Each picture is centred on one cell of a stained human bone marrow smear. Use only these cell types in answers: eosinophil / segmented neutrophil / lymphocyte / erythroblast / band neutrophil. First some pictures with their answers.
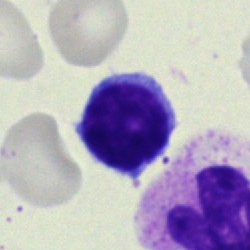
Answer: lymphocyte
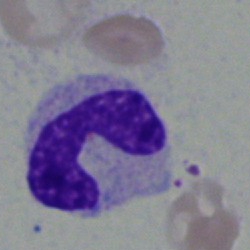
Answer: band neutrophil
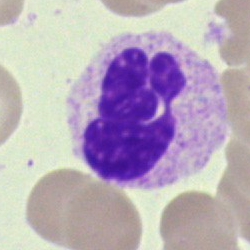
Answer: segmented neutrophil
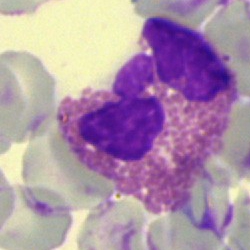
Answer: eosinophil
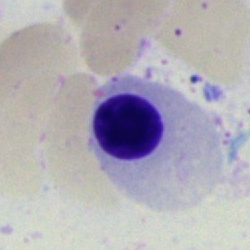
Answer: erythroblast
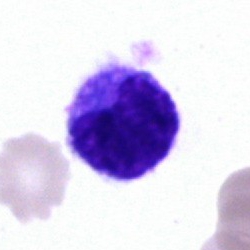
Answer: lymphocyte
